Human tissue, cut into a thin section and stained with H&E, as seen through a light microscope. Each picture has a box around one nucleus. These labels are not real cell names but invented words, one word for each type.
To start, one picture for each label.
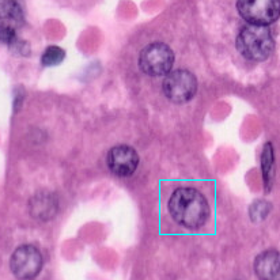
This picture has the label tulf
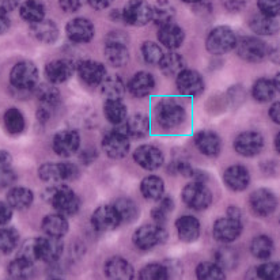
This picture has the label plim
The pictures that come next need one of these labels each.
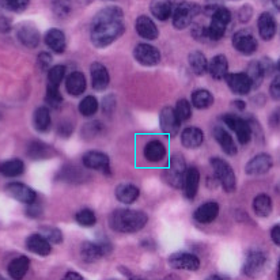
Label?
plim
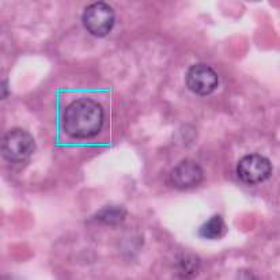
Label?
tulf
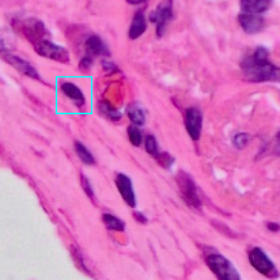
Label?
plim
